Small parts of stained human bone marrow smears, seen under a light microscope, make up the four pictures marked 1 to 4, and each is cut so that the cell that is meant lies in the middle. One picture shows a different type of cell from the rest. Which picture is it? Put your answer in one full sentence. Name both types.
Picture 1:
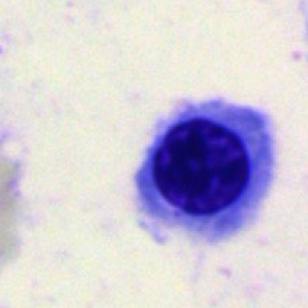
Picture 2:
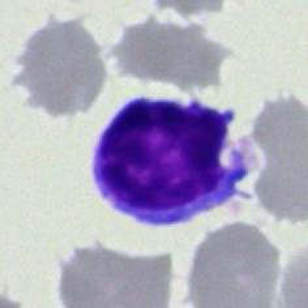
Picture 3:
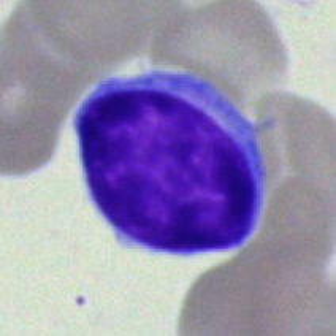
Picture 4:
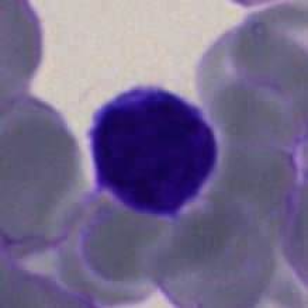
The different one is picture 1; it shows an erythroblast, whereas all the others show lymphocytes.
